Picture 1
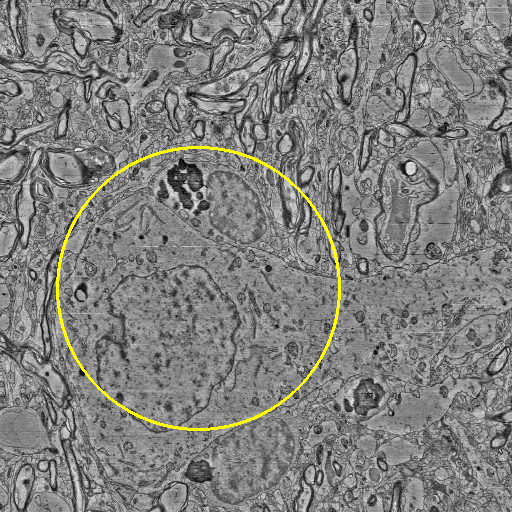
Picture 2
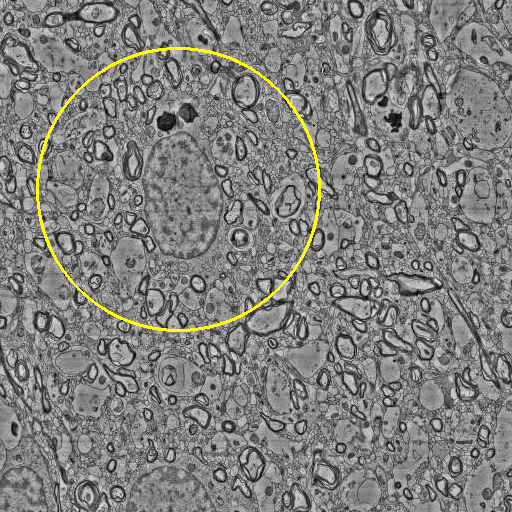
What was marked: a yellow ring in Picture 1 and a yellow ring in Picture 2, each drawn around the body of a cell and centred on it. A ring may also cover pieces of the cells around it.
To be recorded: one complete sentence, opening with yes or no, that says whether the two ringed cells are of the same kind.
No, the two ringed cells are of two kinds.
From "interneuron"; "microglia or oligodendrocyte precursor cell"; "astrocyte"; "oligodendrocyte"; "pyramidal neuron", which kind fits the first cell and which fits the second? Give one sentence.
The cell marked in the first picture is a pyramidal neuron, and the one marked in the second is an oligodendrocyte.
